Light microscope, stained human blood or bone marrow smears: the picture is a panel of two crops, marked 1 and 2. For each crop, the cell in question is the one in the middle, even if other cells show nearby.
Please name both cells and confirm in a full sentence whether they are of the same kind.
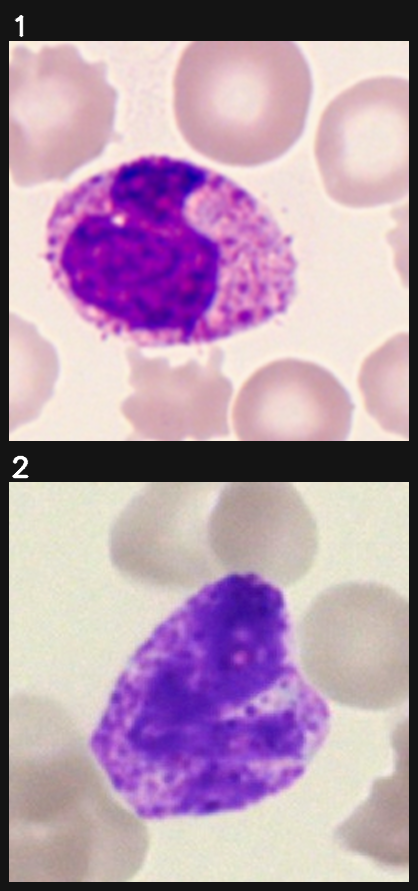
Yes, the centre of both crops is taken up by basophils.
